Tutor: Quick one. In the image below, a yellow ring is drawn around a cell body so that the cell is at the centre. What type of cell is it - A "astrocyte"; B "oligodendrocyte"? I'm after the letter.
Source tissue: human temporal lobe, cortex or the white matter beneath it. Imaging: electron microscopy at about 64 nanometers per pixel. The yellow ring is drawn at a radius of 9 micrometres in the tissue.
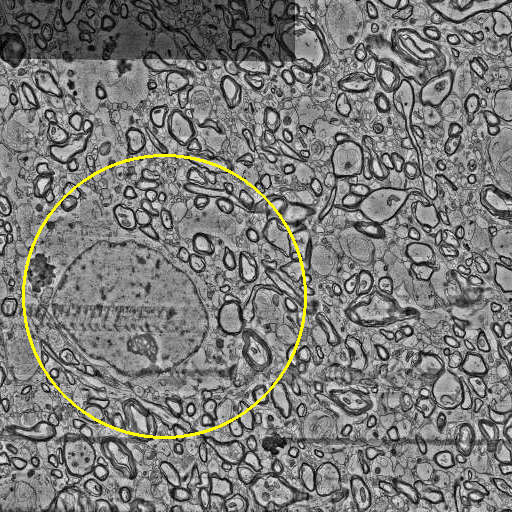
A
